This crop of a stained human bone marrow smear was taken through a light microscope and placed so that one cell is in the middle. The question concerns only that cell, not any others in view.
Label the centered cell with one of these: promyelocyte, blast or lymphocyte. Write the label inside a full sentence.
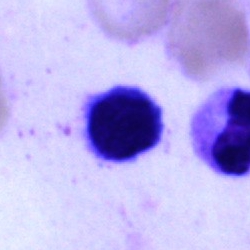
The cell of interest, located centrally, is a lymphocyte.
